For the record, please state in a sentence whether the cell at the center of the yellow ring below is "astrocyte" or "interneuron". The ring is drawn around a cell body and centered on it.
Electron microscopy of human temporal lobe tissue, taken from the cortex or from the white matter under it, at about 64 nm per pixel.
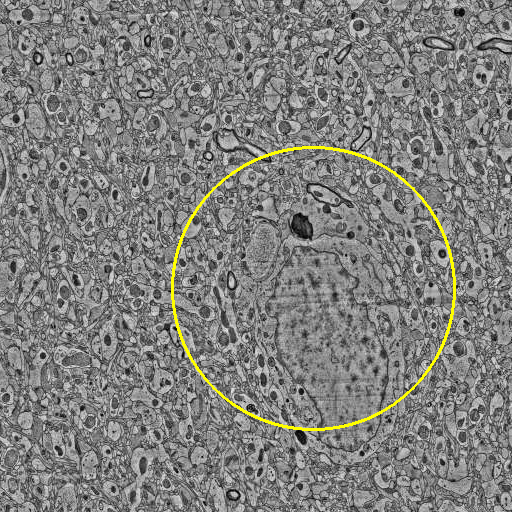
The cell at the ring's center is an interneuron.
